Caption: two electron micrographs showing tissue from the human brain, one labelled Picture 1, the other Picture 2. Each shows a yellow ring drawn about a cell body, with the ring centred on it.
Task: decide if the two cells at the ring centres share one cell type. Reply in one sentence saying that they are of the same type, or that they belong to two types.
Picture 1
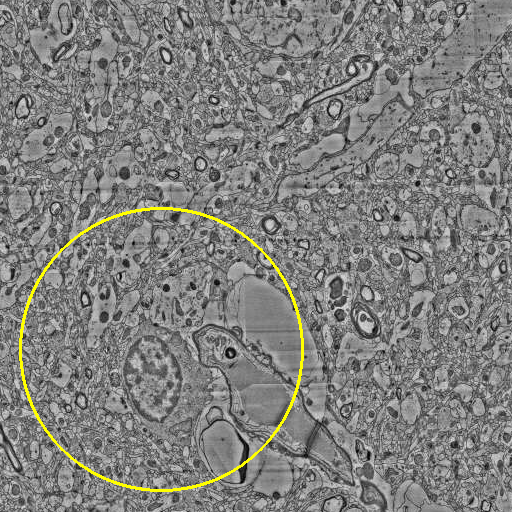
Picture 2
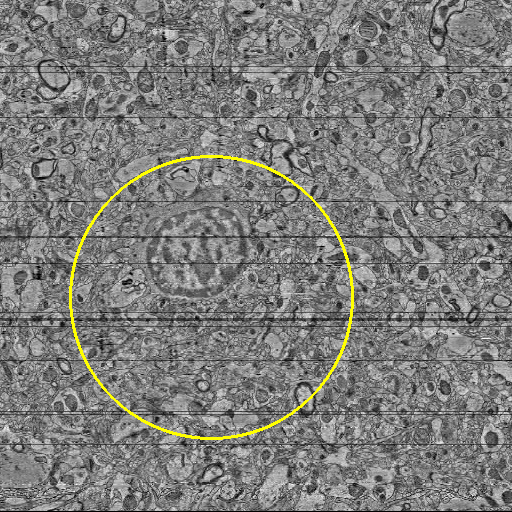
The cells at the ring centres in Picture 1 and Picture 2 are of the same type.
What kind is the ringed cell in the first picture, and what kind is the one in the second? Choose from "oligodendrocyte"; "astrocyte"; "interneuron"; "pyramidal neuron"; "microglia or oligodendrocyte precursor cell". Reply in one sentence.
Each one of the two ringed cells is an oligodendrocyte.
